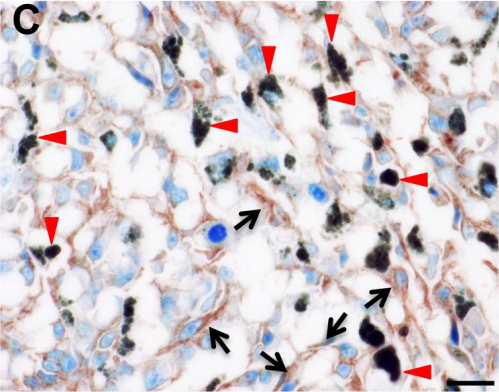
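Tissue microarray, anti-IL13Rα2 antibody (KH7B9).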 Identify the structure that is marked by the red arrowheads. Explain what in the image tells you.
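Melanin pigment. Arrowheads point to dense black-brown clumps within cells. The clumps are darker and coarser than the reddish-brown membranous stain.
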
